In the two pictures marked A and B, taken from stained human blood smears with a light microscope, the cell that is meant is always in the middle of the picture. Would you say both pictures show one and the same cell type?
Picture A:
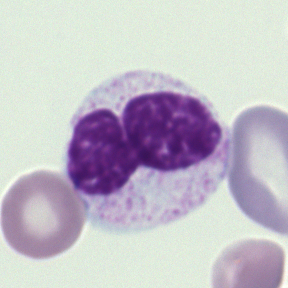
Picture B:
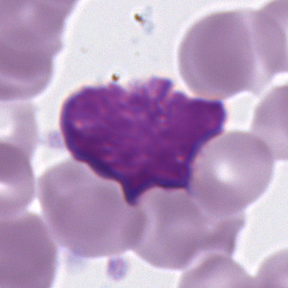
no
